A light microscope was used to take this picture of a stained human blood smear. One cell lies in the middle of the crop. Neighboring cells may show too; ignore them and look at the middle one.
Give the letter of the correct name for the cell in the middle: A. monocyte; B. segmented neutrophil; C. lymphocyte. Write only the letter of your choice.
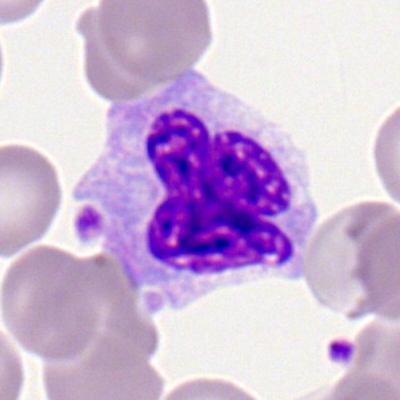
A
